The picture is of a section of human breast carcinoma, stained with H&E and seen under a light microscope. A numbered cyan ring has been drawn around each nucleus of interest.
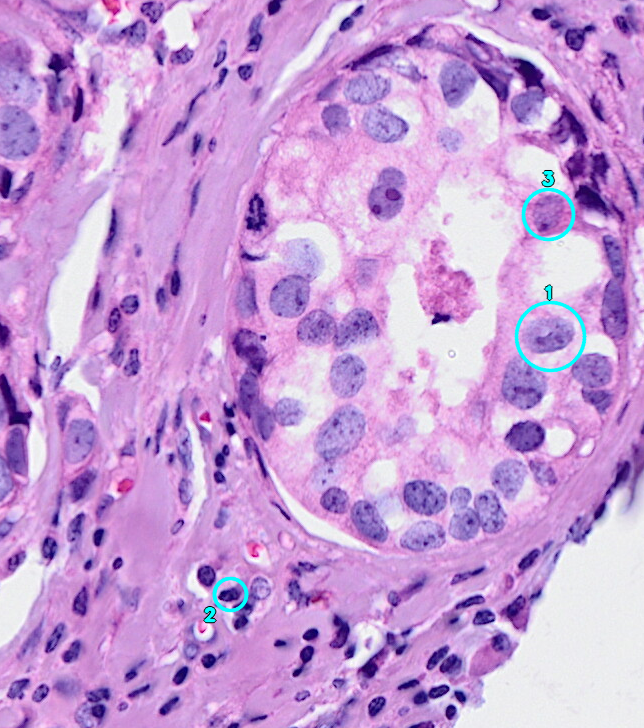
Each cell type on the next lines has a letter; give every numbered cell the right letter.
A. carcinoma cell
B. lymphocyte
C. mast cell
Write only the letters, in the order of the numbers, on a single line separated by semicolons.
A; B; A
